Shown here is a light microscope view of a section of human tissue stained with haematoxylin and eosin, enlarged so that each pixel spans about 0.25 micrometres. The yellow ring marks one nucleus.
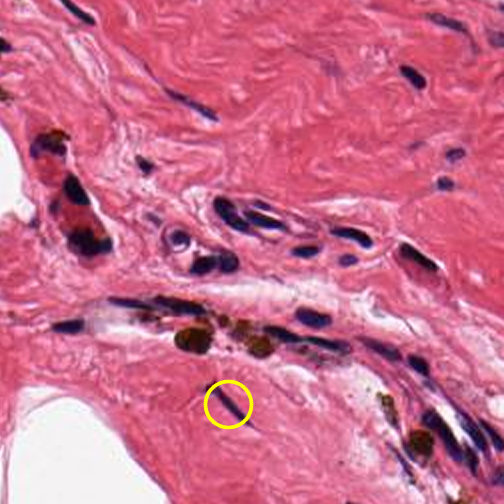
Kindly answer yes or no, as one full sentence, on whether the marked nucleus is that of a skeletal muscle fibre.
No, the marked nucleus is not the nucleus of a skeletal muscle fibre but of a supporting cell.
